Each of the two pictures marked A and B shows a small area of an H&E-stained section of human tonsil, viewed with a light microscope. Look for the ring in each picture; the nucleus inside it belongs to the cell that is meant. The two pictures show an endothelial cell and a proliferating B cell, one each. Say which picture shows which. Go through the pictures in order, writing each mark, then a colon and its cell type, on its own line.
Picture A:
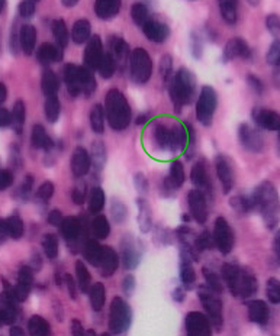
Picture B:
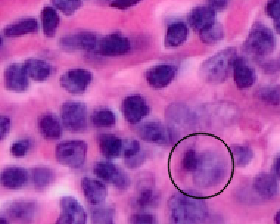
A: proliferating B cell
B: endothelial cell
